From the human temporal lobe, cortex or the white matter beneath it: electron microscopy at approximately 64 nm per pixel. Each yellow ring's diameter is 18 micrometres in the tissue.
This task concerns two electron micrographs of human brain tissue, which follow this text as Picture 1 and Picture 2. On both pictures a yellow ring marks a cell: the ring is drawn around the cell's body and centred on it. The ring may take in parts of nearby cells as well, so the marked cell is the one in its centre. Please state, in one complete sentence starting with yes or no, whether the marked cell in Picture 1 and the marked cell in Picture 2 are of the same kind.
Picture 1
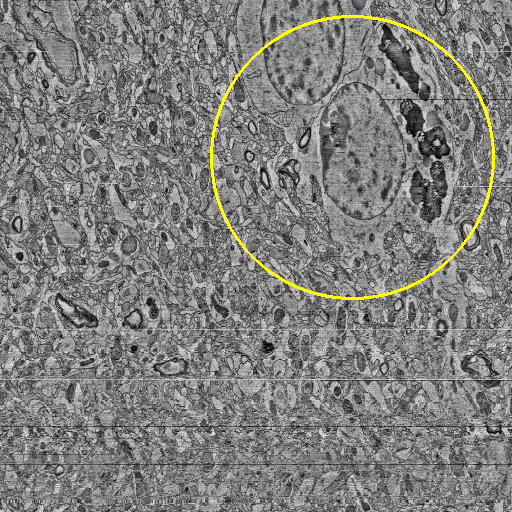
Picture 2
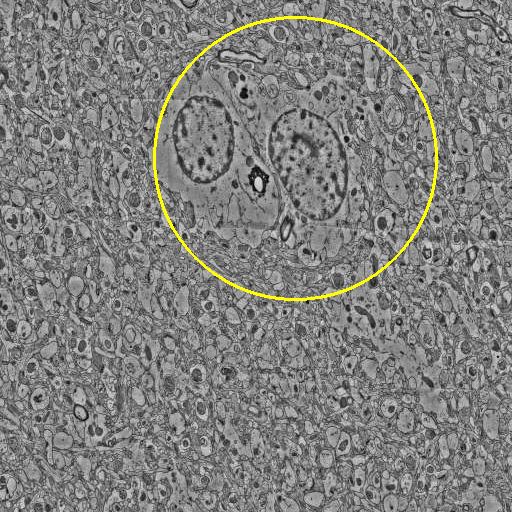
Yes, the marked cells in both pictures are of the same kind.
